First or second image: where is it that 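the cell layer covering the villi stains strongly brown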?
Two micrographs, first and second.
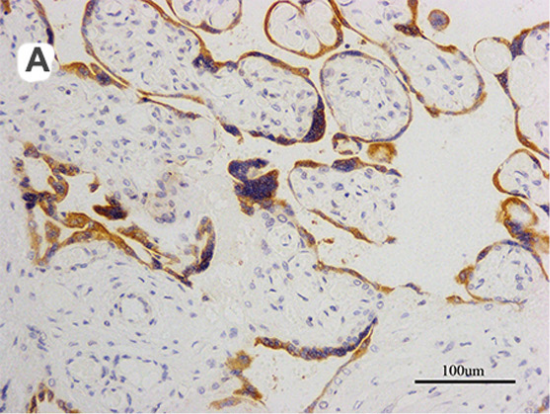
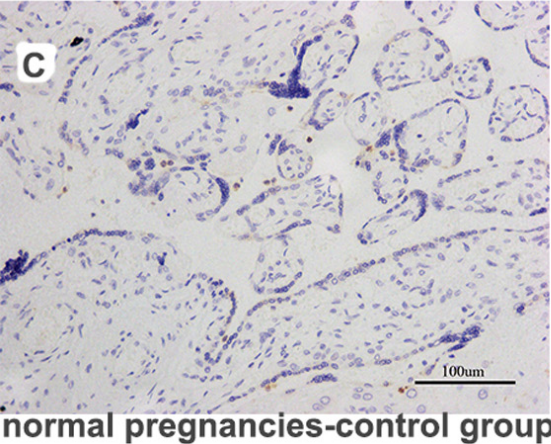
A: The first image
